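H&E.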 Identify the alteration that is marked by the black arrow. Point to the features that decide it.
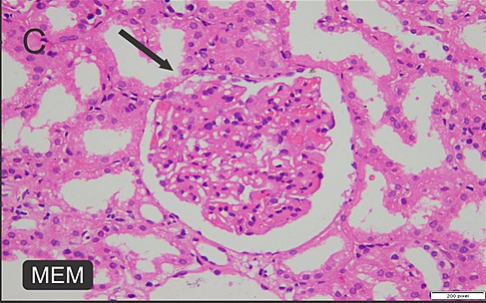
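Thickened glomerular capillary loops. The arrow points at a glomerulus in the centre, surrounded by a clear Bowman's space.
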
